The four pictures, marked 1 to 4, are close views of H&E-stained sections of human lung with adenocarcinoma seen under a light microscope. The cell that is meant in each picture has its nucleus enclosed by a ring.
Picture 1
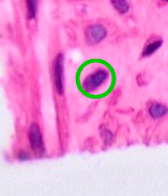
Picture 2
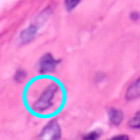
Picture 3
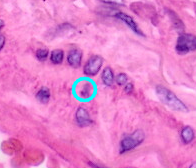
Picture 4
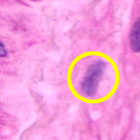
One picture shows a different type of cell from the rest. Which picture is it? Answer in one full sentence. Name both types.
All pictures except 2 show “smooth muscle cells or pericytes”; picture 2 shows a fibroblast.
